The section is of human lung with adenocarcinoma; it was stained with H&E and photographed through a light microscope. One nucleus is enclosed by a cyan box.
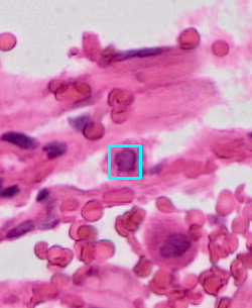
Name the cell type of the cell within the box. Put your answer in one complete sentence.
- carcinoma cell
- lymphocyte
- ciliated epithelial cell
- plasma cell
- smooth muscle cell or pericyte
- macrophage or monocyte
Considered by cell type, the cell within the box is a macrophage or monocyte.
